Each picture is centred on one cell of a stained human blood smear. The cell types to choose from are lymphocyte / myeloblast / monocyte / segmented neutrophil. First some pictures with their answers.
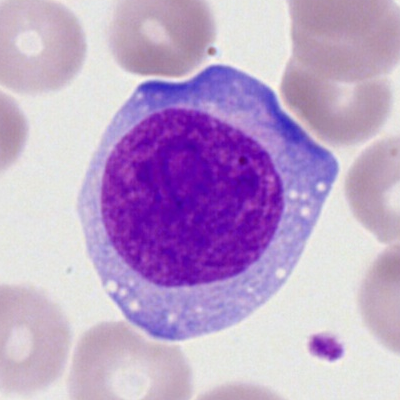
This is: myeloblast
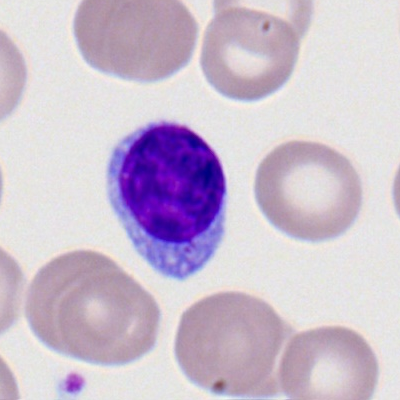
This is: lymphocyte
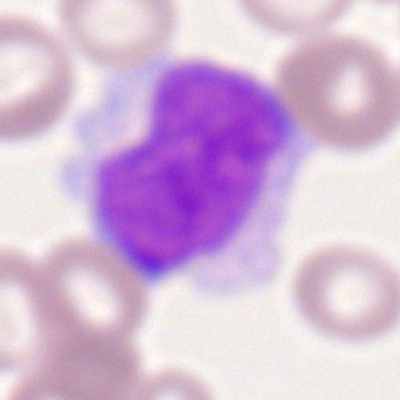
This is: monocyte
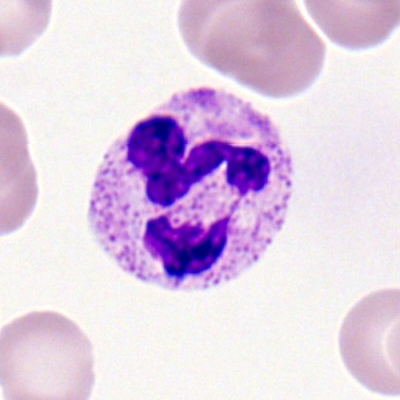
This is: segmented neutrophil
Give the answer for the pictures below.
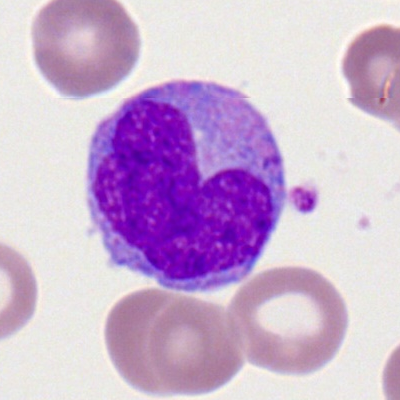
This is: monocyte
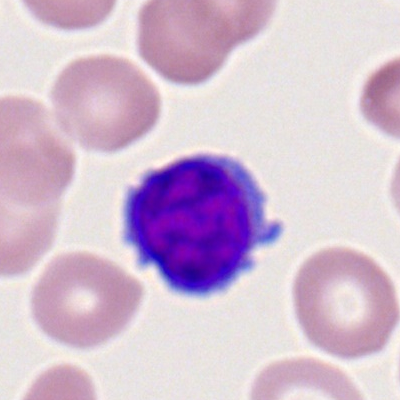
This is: lymphocyte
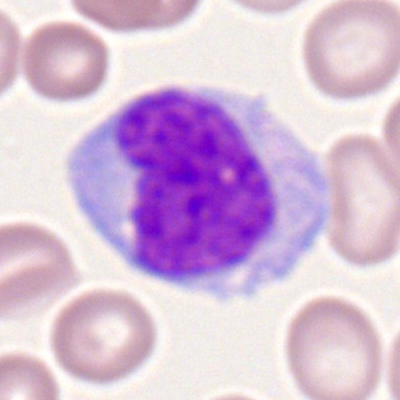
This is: monocyte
